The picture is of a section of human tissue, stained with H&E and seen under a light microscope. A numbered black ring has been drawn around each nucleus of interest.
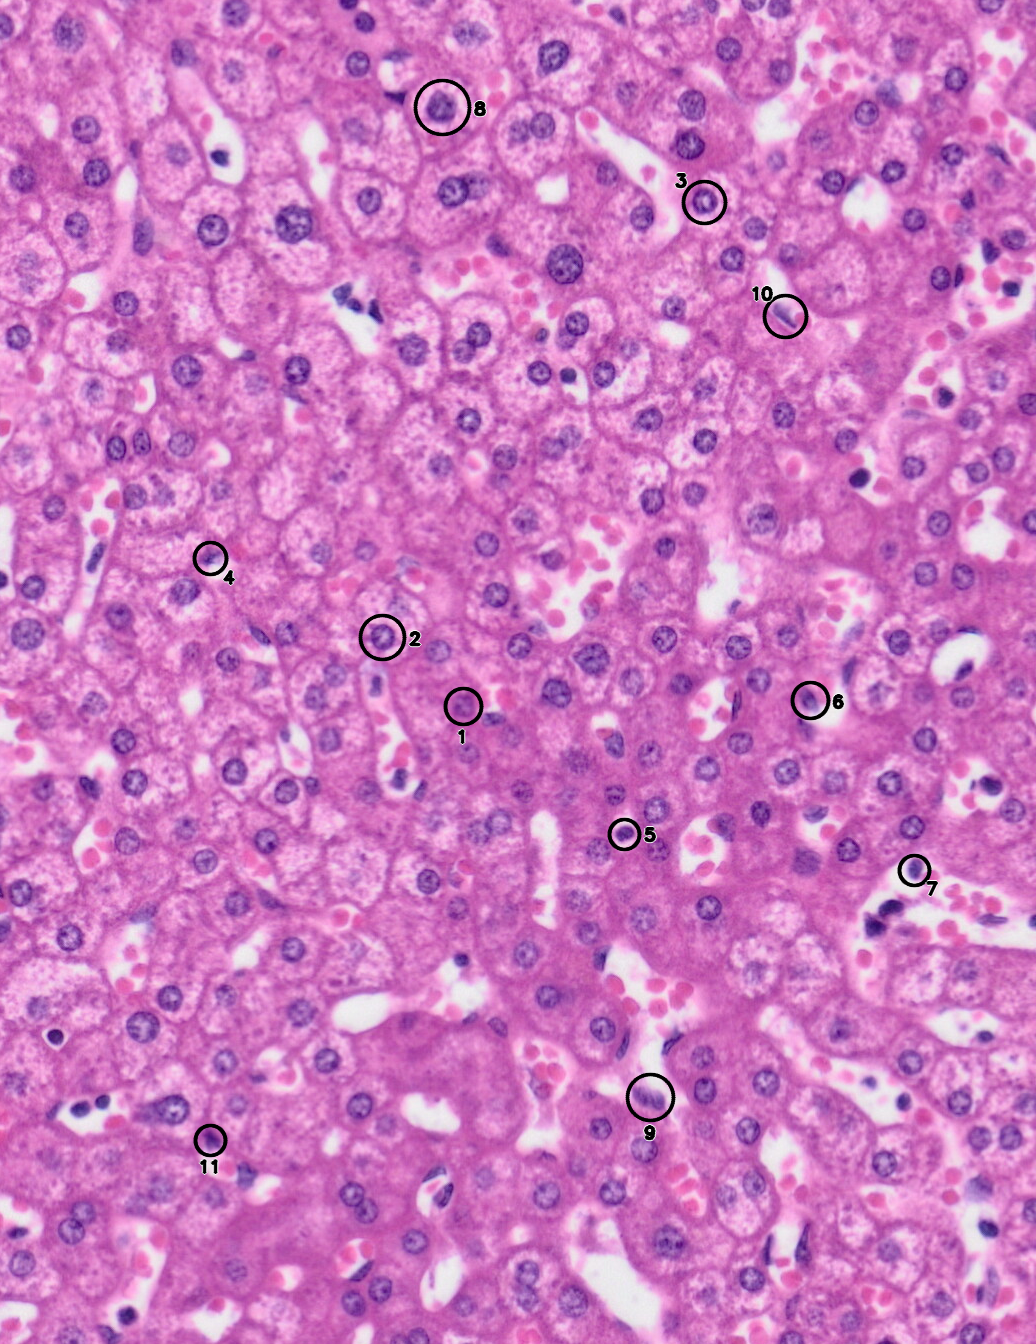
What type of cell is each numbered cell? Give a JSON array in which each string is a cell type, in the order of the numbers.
["hepatocyte", "hepatocyte", "hepatocyte", "endothelial cell", "lymphocyte", "Kupffer cell", "lymphocyte", "hepatocyte", "Kupffer cell", "endothelial cell", "fibroblast or stellate cell"]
